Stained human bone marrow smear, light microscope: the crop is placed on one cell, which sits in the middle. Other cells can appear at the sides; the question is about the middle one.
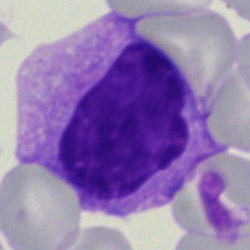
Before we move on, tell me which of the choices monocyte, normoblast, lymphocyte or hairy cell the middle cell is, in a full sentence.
The centered cell in this crop is a monocyte.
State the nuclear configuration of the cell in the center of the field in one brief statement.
What stands out is a nucleus forming one compact round, oval or kidney-shaped mass.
